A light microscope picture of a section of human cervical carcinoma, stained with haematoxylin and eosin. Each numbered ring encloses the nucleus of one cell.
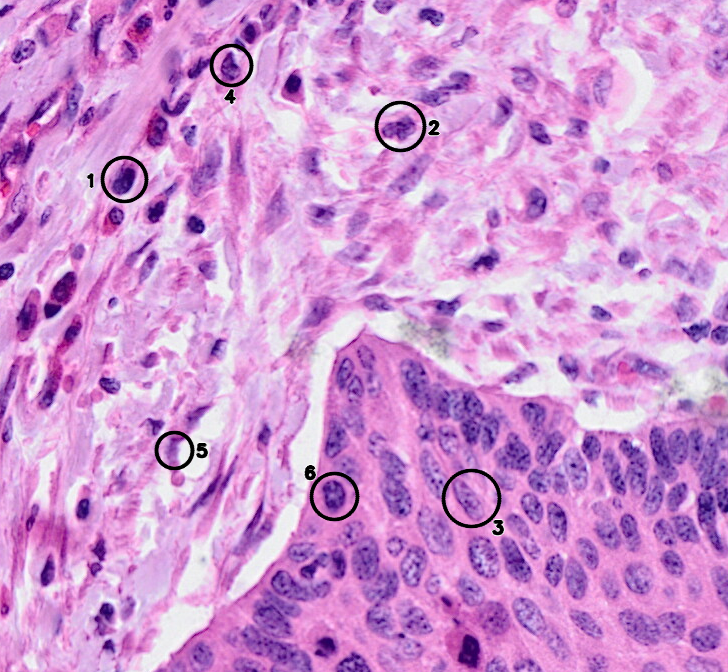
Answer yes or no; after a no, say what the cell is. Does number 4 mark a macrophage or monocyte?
Yes.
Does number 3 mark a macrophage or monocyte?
No, it is a squamous carcinoma cell.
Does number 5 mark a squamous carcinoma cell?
No, it is a fibroblast.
